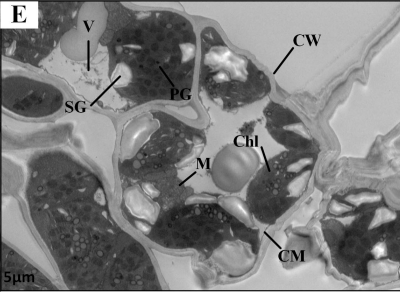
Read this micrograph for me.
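Leaf mesophyll cells with wavy, folded cell walls and distorted outlines. Chloroplasts are irregular and swollen, with dense stroma packed with many small dark plastoglobuli. Cell contents appear disorganised, with pale irregular vacuolar spaces and scattered debris. Overall the cells show severe ultrastructural damage.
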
